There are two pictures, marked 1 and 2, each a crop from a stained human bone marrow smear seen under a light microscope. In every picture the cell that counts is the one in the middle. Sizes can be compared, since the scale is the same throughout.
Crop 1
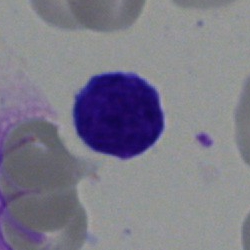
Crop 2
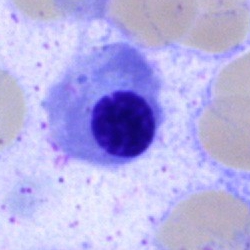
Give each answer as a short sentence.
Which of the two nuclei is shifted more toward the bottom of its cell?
Seen within its cell, the nucleus in crop 2 lies further toward the bottom.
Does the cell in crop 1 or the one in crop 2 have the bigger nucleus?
Crop 1 shows the larger nucleus; it covers about 2 times the area of the nucleus in crop 2.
